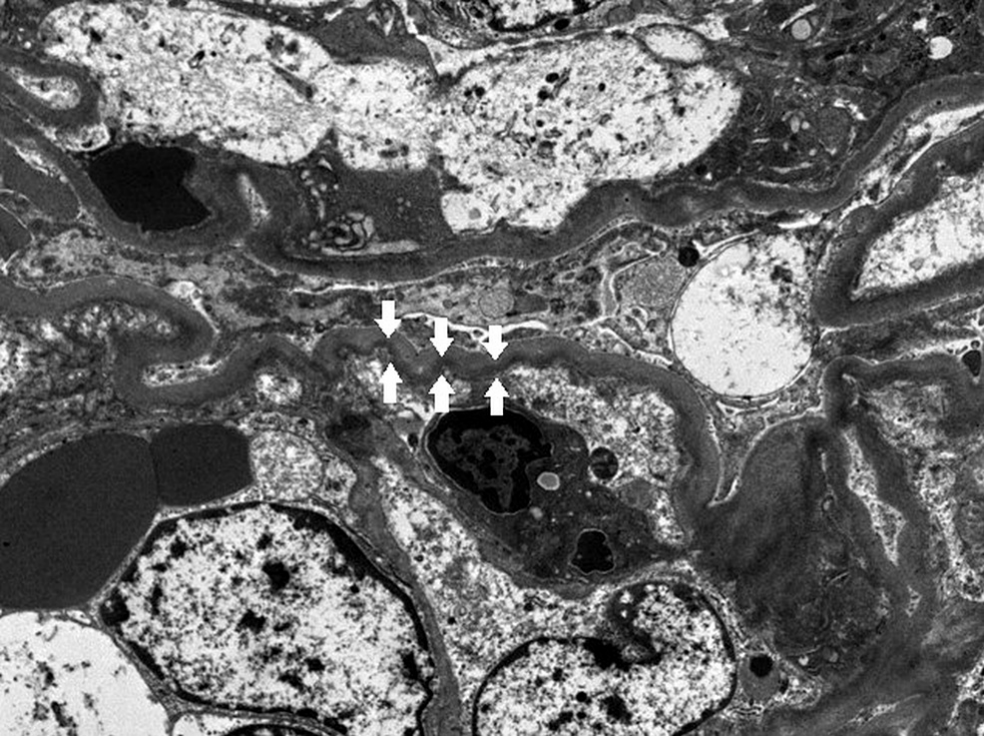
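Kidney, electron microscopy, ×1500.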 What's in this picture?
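Glomerulus in transmission electron micrograph. Capillary loops are outlined by thick, wavy, grey walls. Some lumina hold uniformly dark red blood cells. Large nuclei with clumped chromatin lie between the loops, and a cell with a dark, irregular nucleus sits against one wall. Pale, vacuolated cytoplasm lies on the outer side of the walls.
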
